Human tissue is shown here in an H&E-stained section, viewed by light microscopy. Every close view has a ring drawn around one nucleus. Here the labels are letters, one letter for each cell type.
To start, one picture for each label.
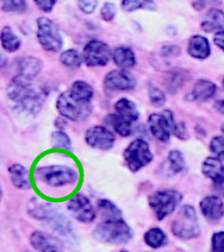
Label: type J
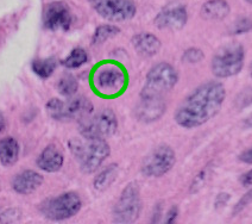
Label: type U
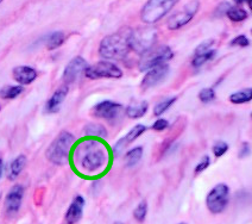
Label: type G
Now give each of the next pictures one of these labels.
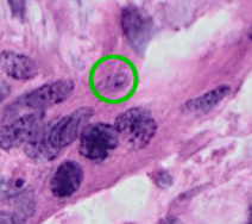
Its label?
type U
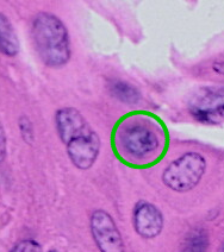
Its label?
type U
